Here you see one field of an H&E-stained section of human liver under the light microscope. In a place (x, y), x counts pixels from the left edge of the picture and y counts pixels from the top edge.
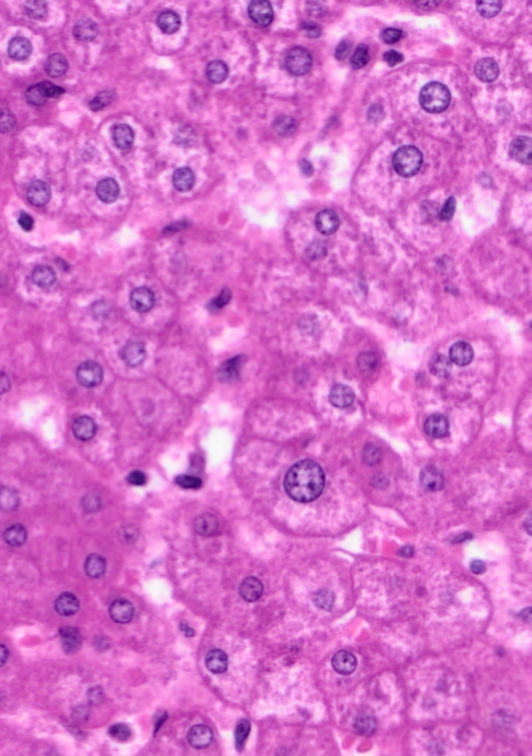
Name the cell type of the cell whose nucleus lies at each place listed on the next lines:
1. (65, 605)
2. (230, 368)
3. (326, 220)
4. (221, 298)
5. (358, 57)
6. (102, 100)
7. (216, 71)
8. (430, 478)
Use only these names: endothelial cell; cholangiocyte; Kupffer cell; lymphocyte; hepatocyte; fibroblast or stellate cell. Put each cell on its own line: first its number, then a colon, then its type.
1: hepatocyte
2: endothelial cell
3: hepatocyte
4: Kupffer cell
5: Kupffer cell
6: Kupffer cell
7: hepatocyte
8: hepatocyte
